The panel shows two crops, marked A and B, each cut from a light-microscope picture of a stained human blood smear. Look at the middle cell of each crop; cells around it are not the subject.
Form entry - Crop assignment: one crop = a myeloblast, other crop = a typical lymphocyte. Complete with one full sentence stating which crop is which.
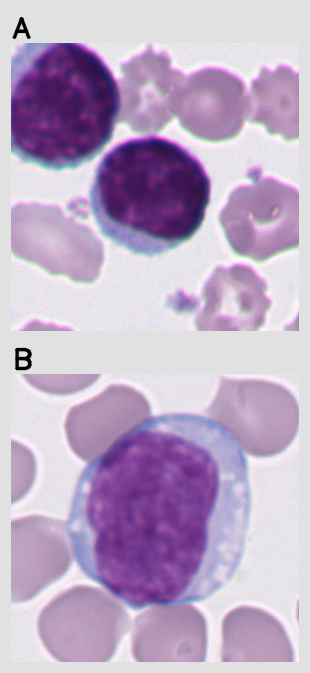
Identified in crop A is a typical lymphocyte, with a myeloblast identified in crop B.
